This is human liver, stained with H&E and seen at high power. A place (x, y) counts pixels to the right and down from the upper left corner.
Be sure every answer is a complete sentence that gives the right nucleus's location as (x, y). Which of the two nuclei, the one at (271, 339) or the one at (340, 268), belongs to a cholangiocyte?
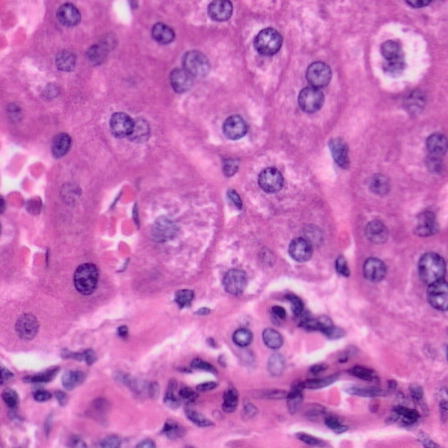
The nucleus that belongs to a cholangiocyte sits at (271, 339).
